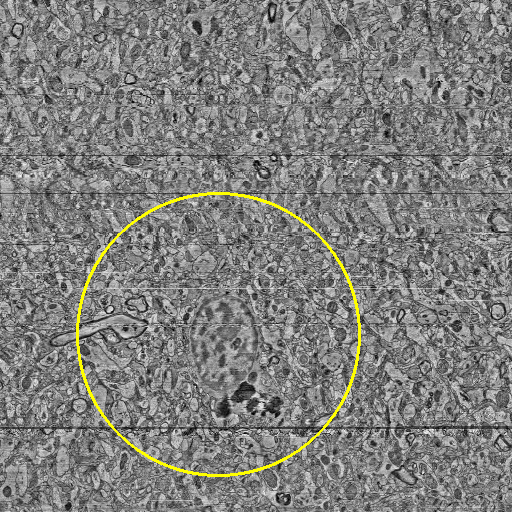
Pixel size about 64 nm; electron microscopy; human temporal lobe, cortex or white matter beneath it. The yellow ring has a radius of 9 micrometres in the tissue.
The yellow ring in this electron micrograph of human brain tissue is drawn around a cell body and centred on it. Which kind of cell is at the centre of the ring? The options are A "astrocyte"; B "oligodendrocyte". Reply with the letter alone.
B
